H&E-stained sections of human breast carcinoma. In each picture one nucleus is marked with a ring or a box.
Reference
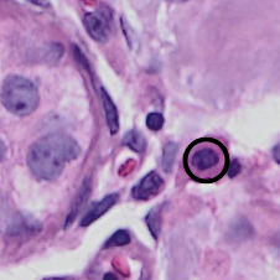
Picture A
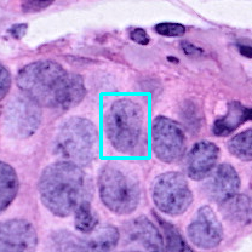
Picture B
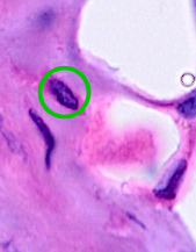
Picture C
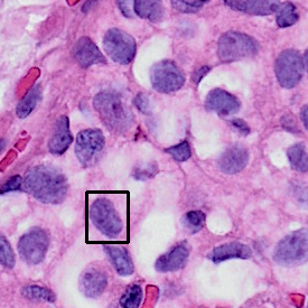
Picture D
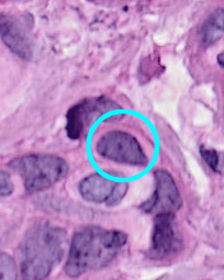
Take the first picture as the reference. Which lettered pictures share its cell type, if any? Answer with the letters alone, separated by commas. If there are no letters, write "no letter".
B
